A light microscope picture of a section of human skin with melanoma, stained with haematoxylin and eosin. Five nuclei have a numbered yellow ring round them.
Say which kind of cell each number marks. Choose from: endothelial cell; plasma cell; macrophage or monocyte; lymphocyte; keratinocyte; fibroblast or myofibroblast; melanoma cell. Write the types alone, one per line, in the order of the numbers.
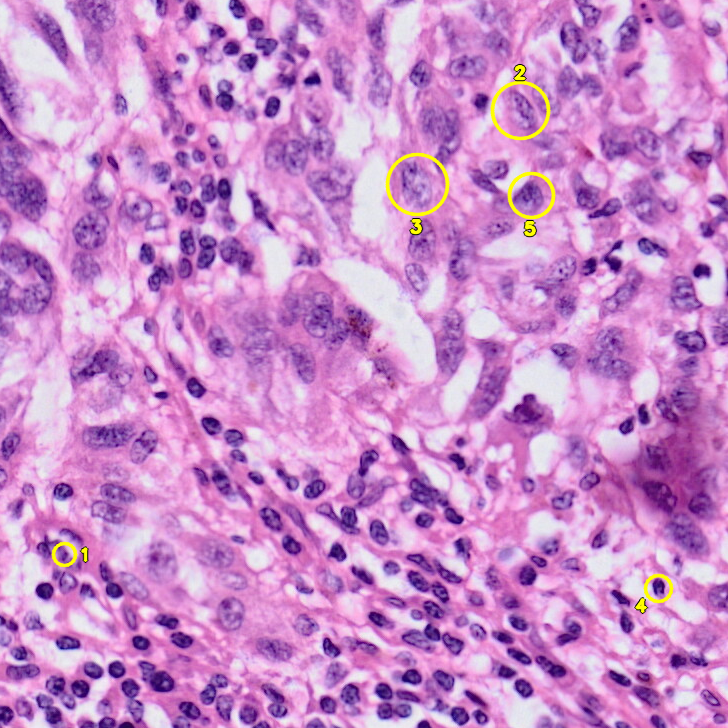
endothelial cell
melanoma cell
melanoma cell
lymphocyte
melanoma cell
